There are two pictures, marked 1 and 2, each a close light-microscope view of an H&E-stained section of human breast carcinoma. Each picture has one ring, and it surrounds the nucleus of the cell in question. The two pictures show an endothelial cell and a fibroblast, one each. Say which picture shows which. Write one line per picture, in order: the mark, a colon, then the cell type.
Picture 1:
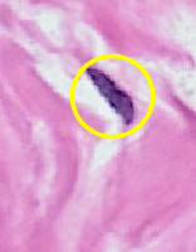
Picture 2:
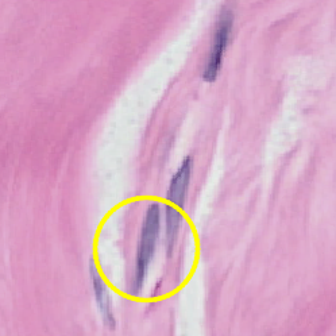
1: fibroblast
2: endothelial cell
